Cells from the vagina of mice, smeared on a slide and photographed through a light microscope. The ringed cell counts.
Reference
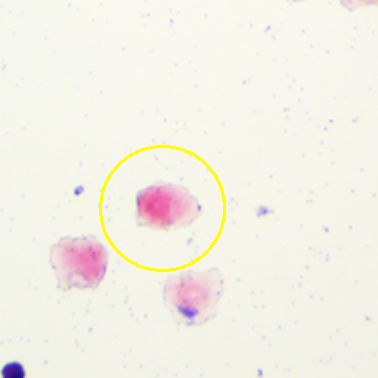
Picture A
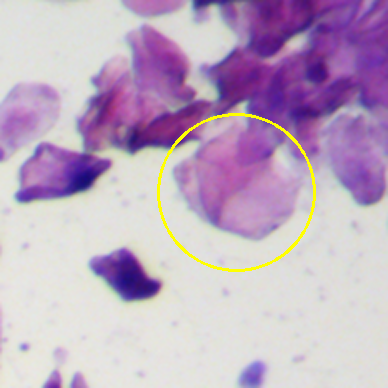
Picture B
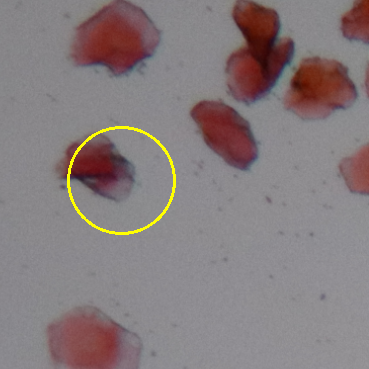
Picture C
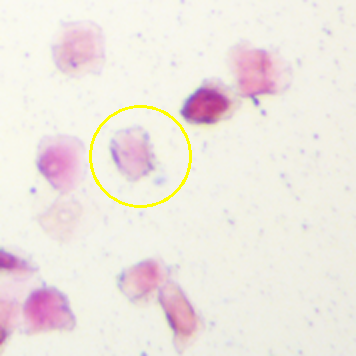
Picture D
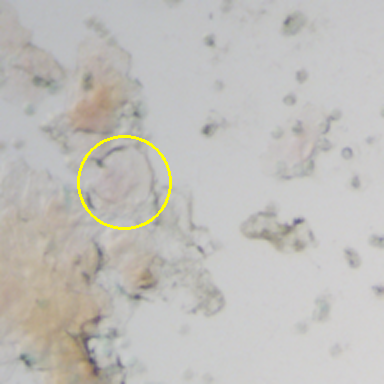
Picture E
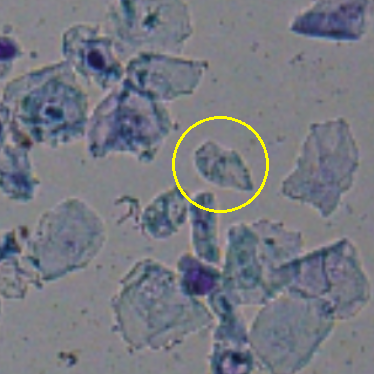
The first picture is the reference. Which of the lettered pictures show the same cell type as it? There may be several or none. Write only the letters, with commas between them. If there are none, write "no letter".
A, B, C, D, E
